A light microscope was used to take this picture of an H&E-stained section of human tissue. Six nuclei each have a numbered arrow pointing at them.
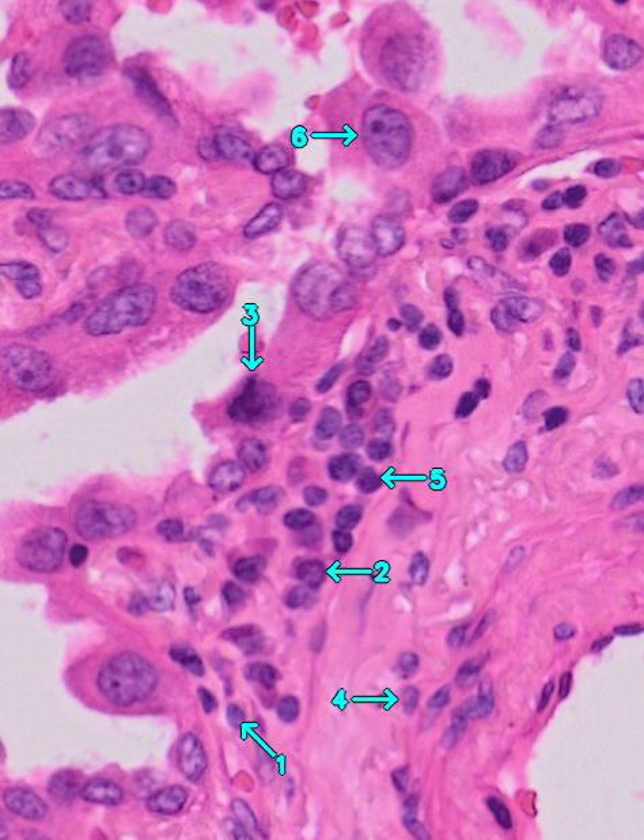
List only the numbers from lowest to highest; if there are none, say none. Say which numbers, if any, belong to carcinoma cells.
3, 6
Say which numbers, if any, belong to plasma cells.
2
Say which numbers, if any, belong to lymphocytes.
1, 5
